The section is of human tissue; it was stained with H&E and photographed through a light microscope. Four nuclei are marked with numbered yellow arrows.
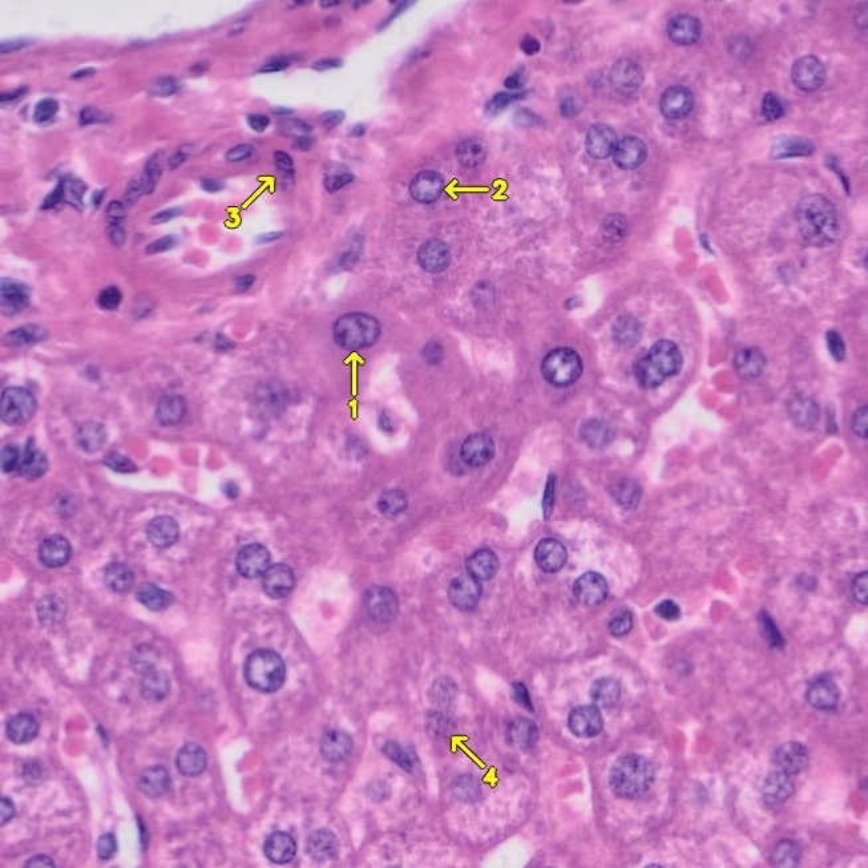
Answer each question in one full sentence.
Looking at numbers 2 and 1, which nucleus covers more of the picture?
At about 1.5 times the area of nucleus 2, nucleus 1 is the larger of the two.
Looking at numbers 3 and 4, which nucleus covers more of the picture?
Of the two, number 4 is bigger and takes up about 1.5 times the area of number 3.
